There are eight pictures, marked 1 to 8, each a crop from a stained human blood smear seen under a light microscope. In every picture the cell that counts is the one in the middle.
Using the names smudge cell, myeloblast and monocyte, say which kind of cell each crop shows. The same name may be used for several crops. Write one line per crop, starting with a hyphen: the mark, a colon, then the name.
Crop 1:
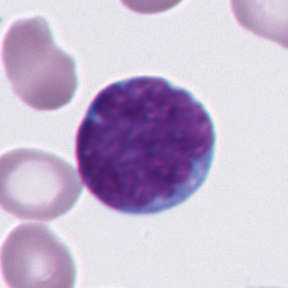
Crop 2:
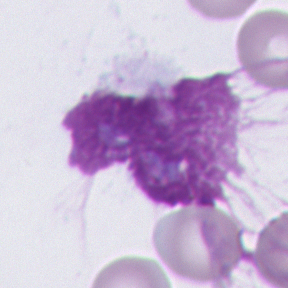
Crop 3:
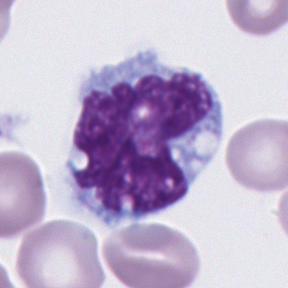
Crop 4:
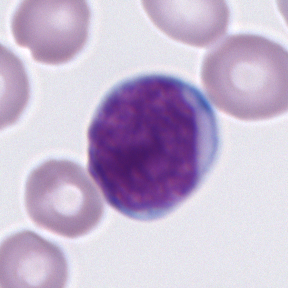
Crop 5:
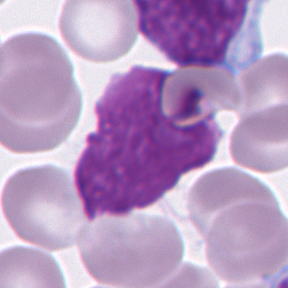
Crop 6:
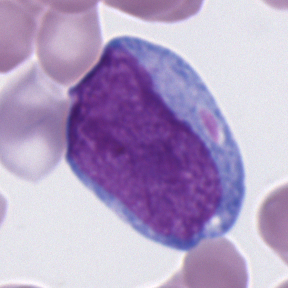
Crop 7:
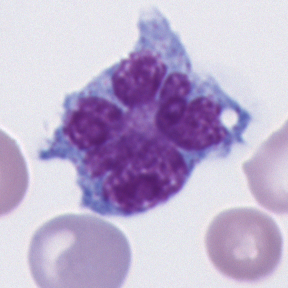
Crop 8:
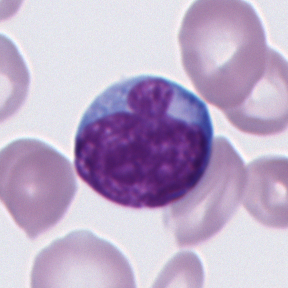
- 1: myeloblast
- 2: smudge cell
- 3: monocyte
- 4: myeloblast
- 5: smudge cell
- 6: myeloblast
- 7: monocyte
- 8: myeloblast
